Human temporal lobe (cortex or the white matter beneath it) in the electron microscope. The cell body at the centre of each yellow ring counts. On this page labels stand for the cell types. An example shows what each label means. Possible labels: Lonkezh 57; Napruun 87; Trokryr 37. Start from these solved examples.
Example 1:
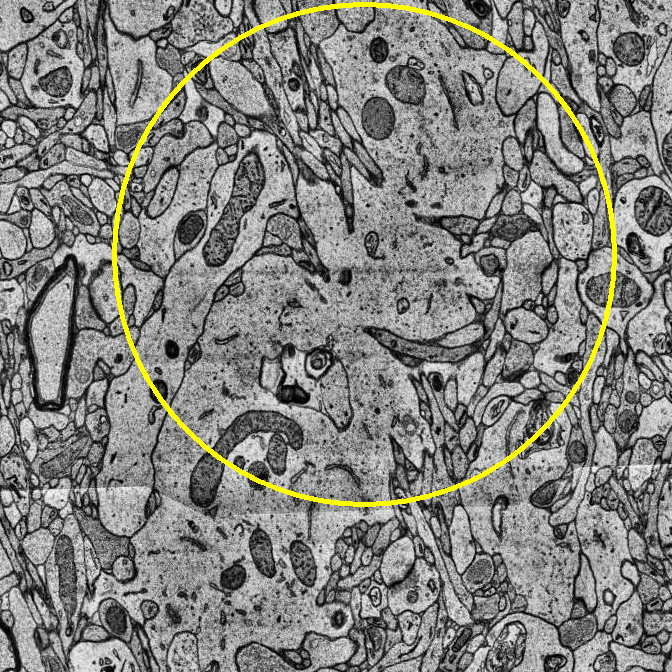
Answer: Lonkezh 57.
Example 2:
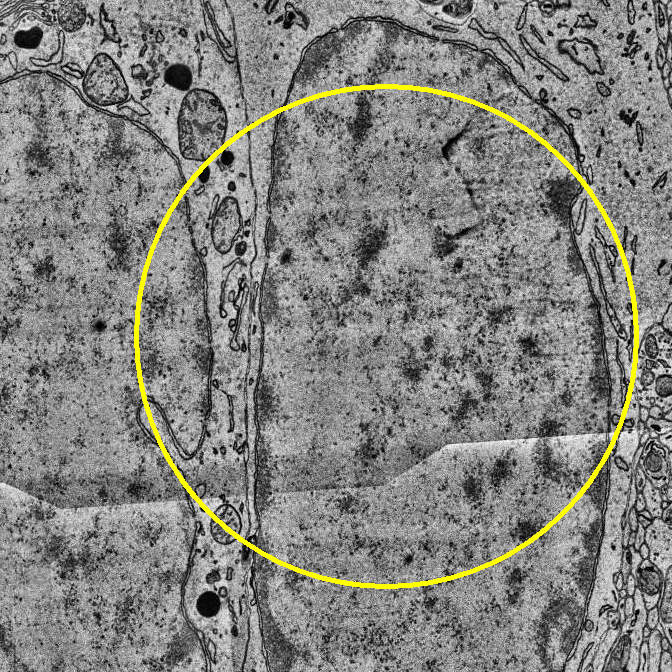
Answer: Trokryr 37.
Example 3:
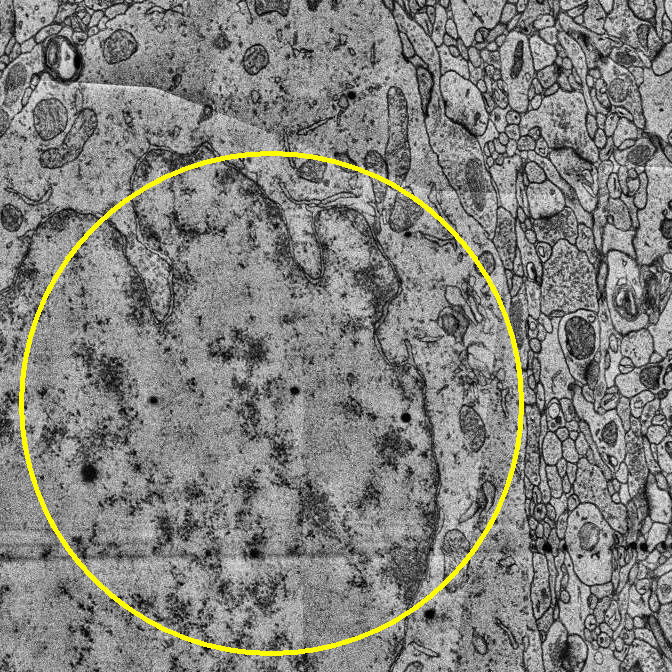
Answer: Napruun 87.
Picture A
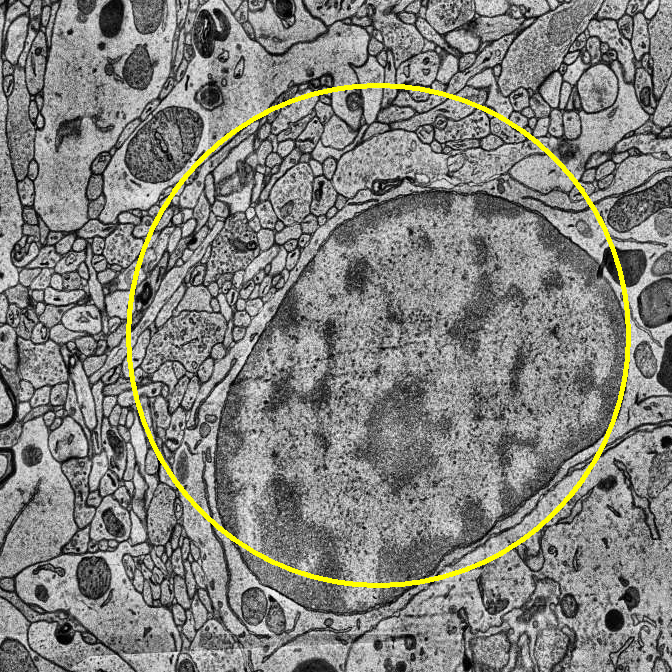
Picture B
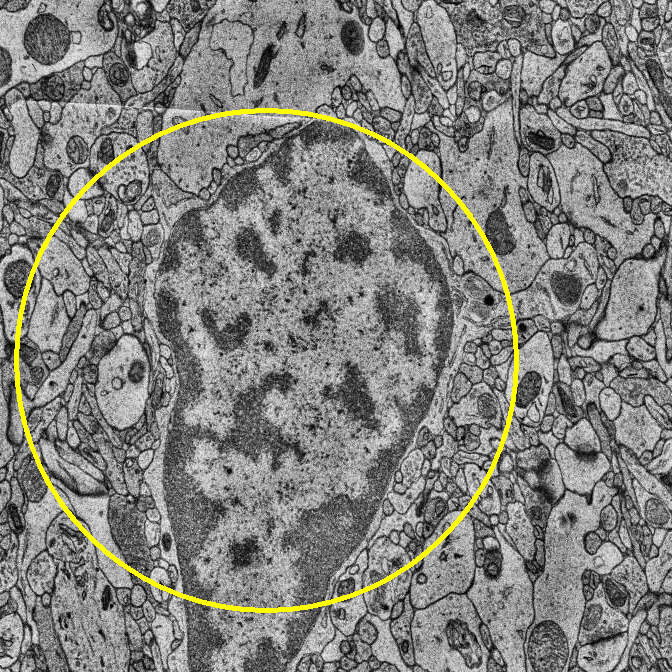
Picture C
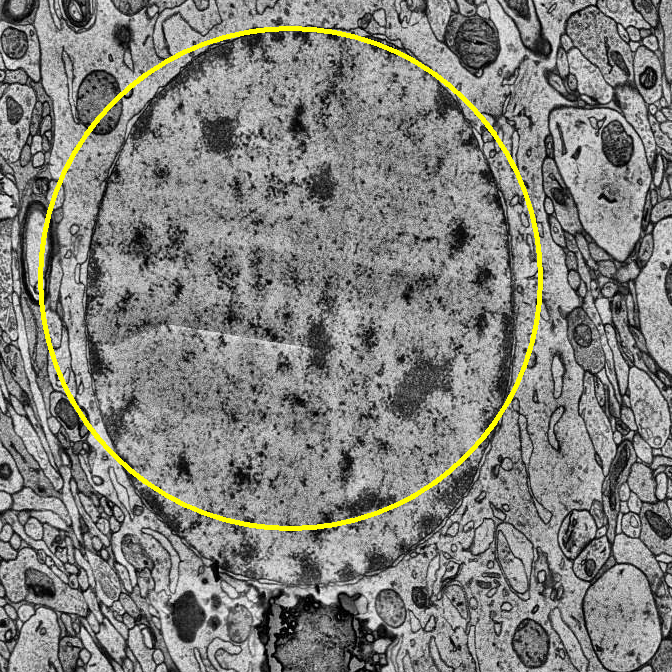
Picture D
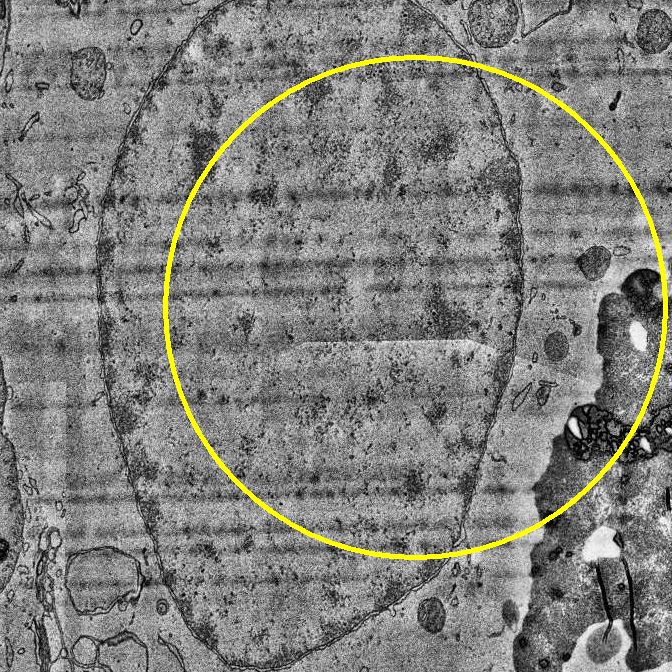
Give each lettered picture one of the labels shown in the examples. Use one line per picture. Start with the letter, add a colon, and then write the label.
A: Trokryr 37.
B: Trokryr 37.
C: Lonkezh 57.
D: Lonkezh 57.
